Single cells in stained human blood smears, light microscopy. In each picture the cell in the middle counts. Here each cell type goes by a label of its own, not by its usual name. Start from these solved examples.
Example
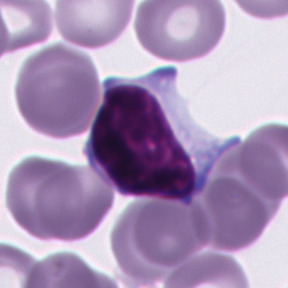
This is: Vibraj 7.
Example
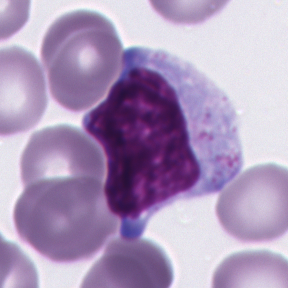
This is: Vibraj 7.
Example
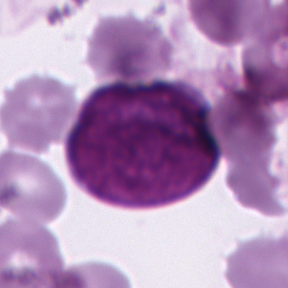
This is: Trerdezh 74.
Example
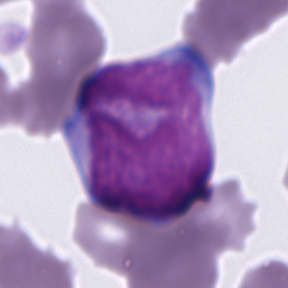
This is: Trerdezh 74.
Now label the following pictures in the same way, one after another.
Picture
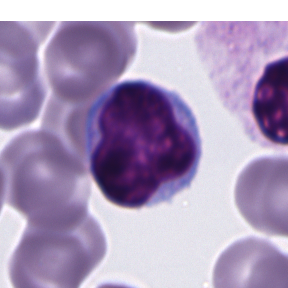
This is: Vibraj 7.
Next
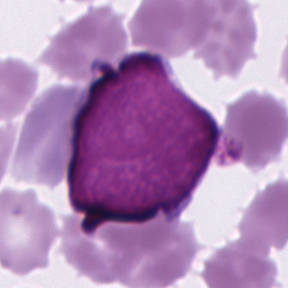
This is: Trerdezh 74.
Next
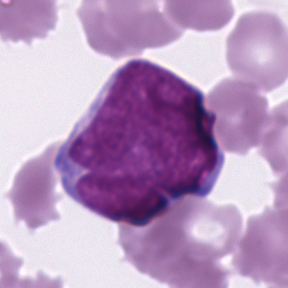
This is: Trerdezh 74.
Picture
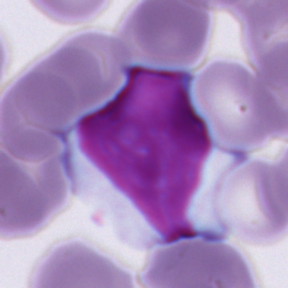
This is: Vibraj 7.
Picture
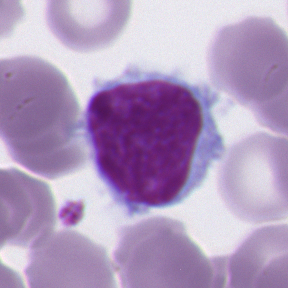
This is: Vibraj 7.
